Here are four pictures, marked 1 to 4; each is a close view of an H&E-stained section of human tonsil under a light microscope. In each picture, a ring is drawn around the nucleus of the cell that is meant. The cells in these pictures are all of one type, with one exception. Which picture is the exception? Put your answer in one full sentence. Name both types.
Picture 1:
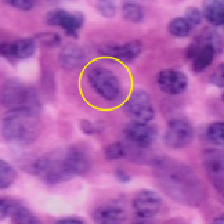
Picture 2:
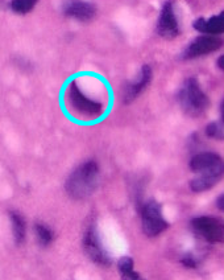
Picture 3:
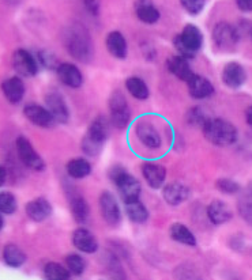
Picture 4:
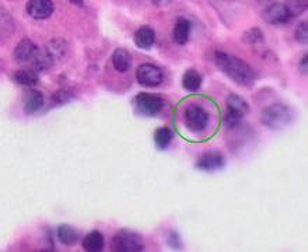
Picture 2 differs, because its cell is a squamous epithelial cell and the rest are plasma cells.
